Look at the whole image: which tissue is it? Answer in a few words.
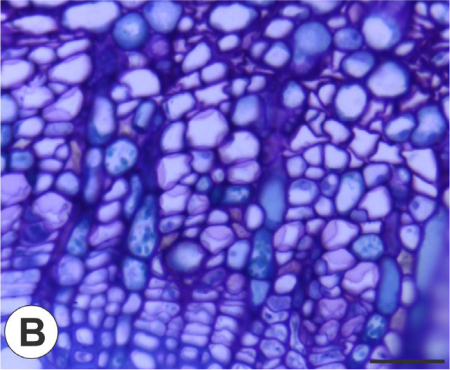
Phloem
